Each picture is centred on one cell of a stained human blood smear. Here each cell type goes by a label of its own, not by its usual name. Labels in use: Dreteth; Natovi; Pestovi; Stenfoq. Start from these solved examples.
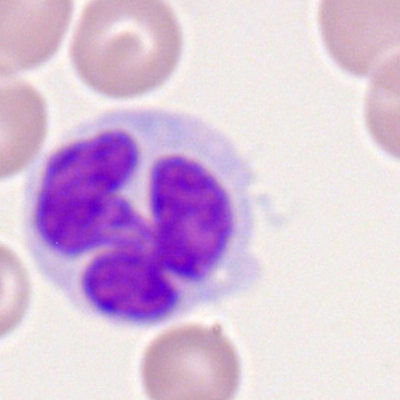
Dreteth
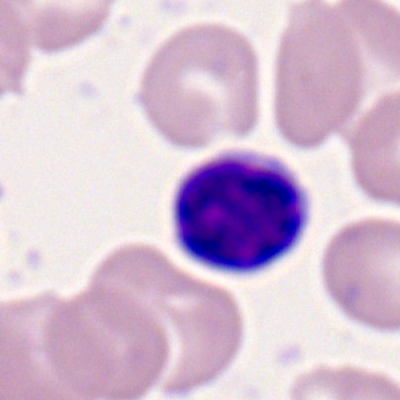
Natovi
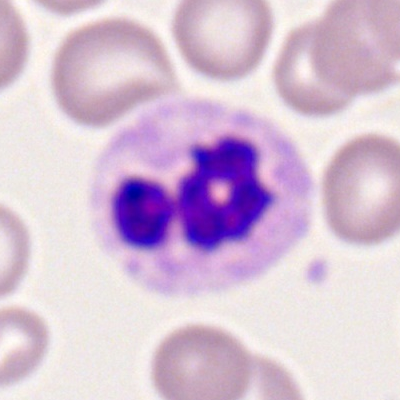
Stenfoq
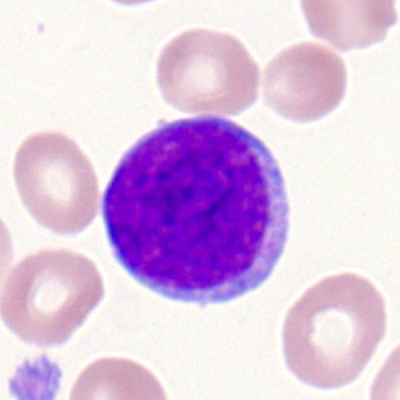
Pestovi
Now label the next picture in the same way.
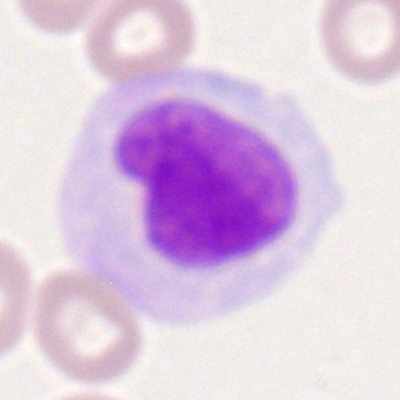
Dreteth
